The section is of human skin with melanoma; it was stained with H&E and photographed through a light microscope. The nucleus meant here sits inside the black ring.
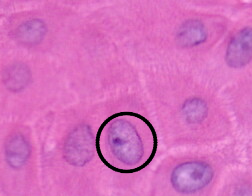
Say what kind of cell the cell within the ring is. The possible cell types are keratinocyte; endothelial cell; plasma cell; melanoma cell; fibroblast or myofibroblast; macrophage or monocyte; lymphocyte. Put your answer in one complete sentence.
The cell meant here is a keratinocyte.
